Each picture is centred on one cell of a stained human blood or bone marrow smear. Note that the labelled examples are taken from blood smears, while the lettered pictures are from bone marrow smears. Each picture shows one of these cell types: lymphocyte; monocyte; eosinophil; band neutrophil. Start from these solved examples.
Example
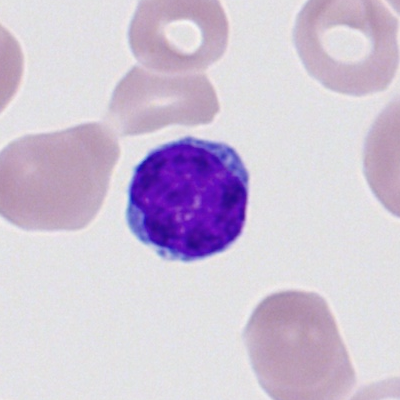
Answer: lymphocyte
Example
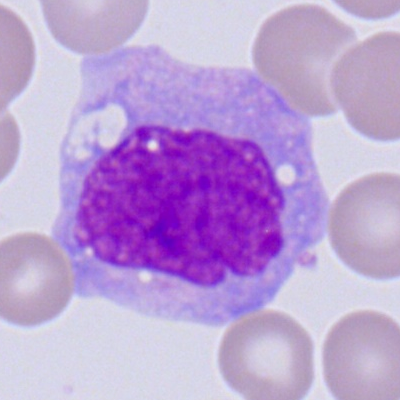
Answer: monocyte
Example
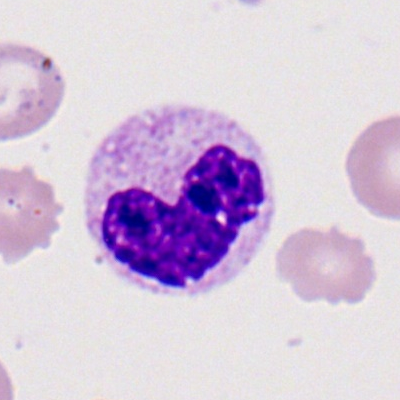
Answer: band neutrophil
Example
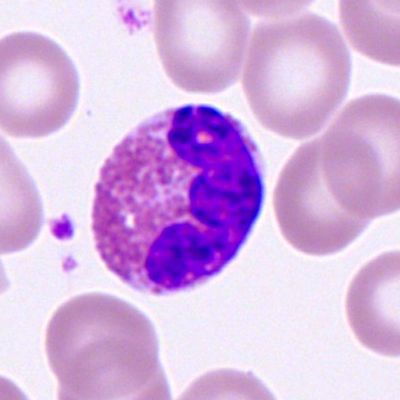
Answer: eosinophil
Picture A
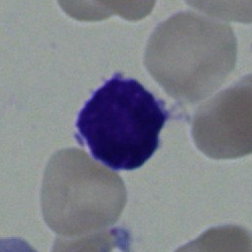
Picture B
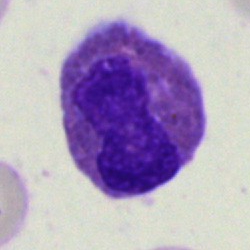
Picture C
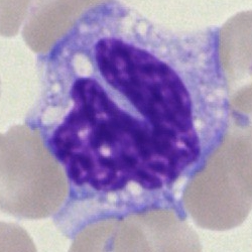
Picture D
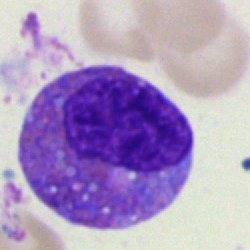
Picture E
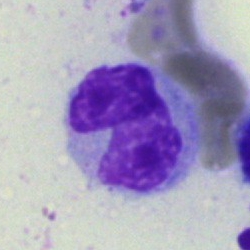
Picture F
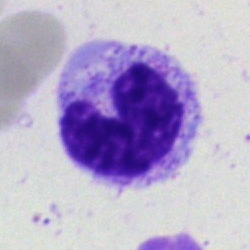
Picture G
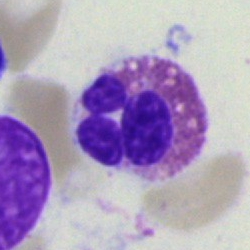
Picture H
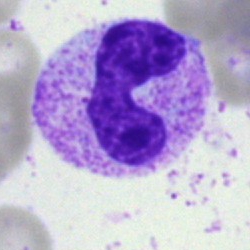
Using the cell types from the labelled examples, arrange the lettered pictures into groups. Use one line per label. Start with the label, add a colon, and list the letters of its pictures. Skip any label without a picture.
lymphocyte: A
monocyte: C, E
eosinophil: B, D, G
band neutrophil: F, H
